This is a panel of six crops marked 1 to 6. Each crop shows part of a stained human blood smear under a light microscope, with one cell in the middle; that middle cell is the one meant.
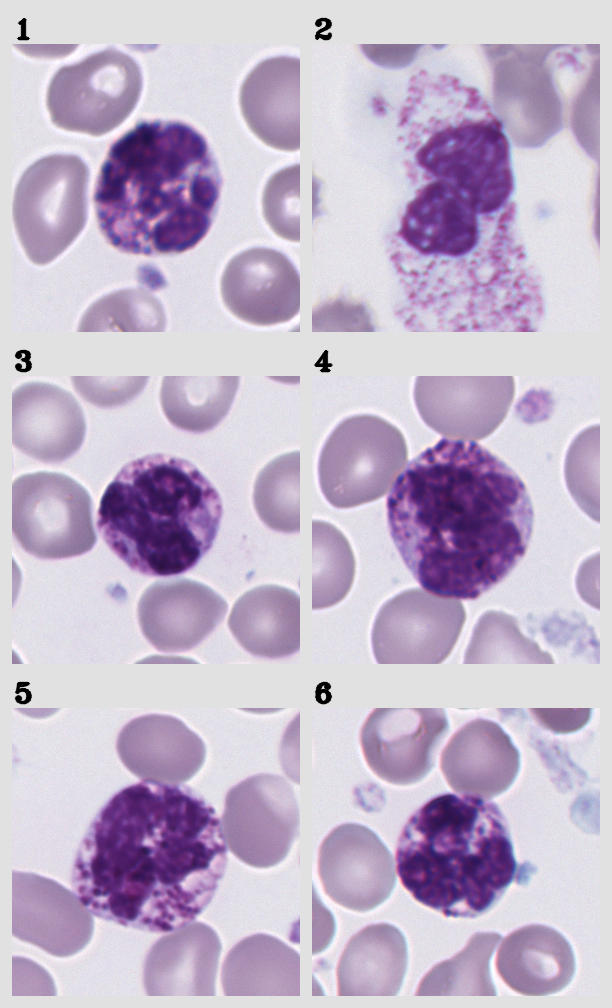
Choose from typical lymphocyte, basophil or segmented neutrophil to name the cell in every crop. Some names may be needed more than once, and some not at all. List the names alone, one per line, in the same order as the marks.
basophil
segmented neutrophil
basophil
basophil
basophil
basophil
